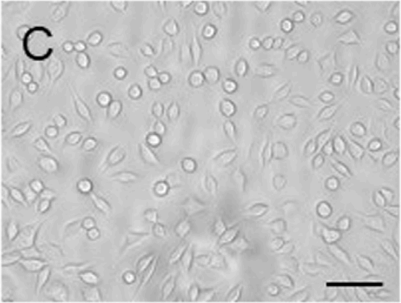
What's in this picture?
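Many cells are flattened and spindle-shaped or polygonal, adhering to the surface. Scattered among them are numerous small, round, bright cells, some lying in pairs or small clusters. The layer is less continuous than a confluent monolayer, with gaps between the cells.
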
